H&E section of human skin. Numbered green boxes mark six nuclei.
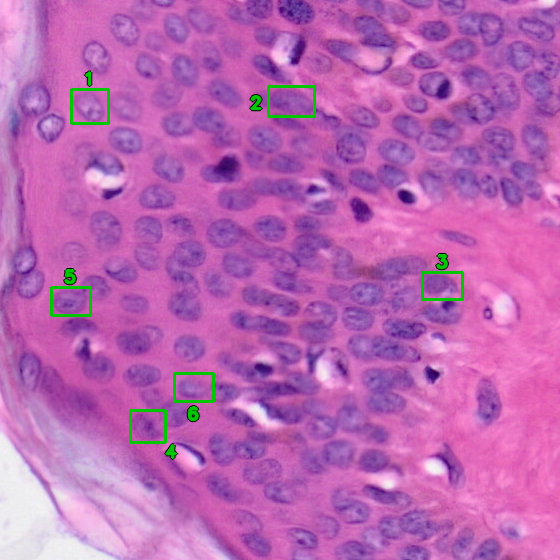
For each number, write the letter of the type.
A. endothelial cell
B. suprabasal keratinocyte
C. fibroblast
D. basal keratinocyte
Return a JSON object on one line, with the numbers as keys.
{"1": "B", "2": "D", "3": "D", "4": "B", "5": "B", "6": "B"}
